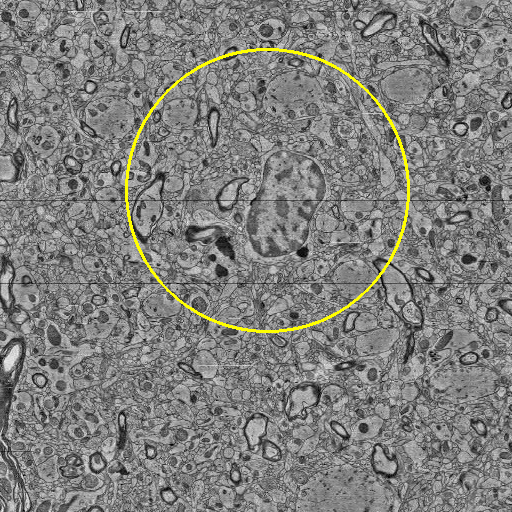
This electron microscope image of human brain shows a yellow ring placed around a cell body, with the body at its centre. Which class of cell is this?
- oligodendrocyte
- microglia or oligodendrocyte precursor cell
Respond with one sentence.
The cell body at the ring's centre is a microglial cell or oligodendrocyte precursor cell.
